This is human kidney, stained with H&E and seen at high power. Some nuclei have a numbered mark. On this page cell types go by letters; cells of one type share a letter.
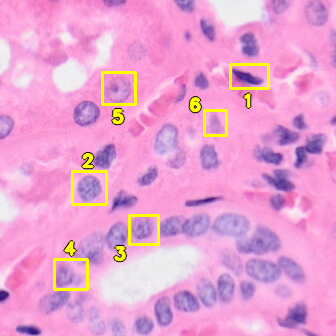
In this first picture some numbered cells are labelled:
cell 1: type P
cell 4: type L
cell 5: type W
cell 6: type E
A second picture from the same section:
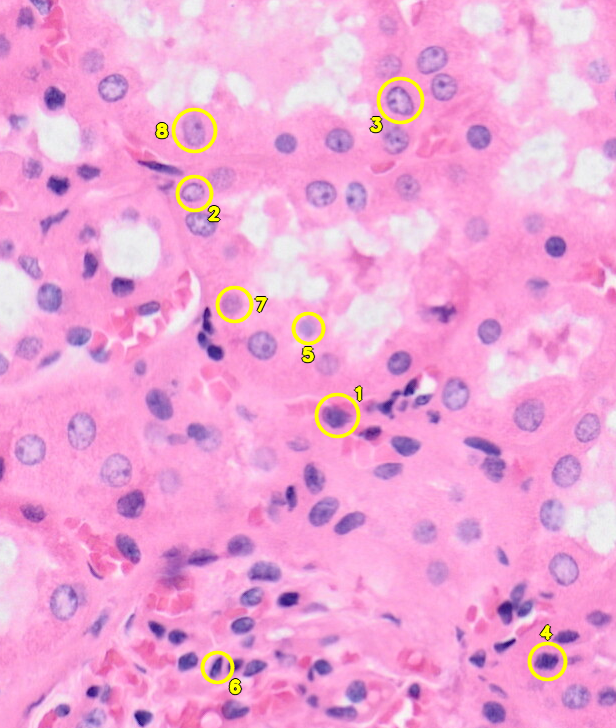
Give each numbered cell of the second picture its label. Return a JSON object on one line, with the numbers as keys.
{"1": "type P", "2": "type W", "3": "type W", "4": "type E", "5": "type W", "6": "type P", "7": "type W", "8": "type W"}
